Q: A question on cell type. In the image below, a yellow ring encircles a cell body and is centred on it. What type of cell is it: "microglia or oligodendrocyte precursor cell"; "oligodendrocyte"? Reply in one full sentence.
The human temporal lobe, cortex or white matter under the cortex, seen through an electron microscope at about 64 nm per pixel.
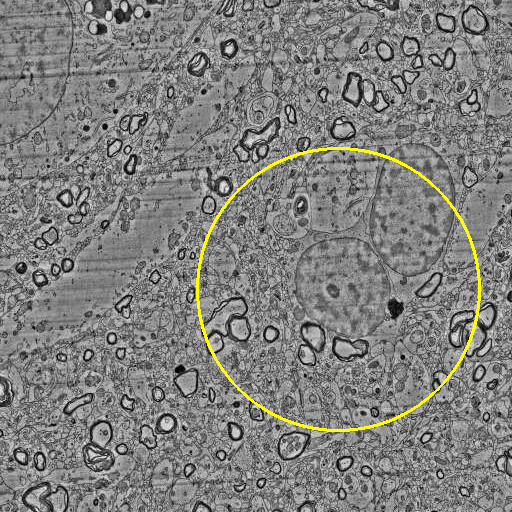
It is an oligodendrocyte whose cell body sits at the centre of the yellow ring in the image.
